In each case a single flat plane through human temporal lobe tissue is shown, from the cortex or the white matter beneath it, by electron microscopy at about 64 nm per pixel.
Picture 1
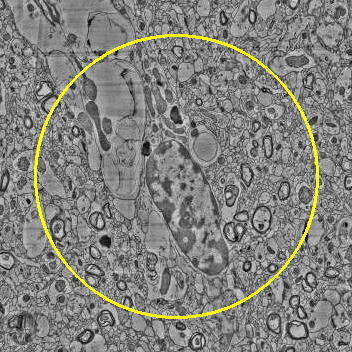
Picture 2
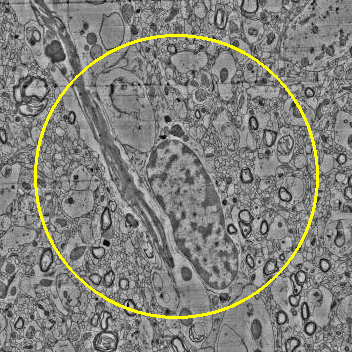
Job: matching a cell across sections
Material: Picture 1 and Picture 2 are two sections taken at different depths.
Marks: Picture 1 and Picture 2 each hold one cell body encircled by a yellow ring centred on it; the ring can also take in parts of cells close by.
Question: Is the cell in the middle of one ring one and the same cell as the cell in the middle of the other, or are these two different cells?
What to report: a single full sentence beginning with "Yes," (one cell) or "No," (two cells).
Yes, the cell inside the first ring is the cell inside the second.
